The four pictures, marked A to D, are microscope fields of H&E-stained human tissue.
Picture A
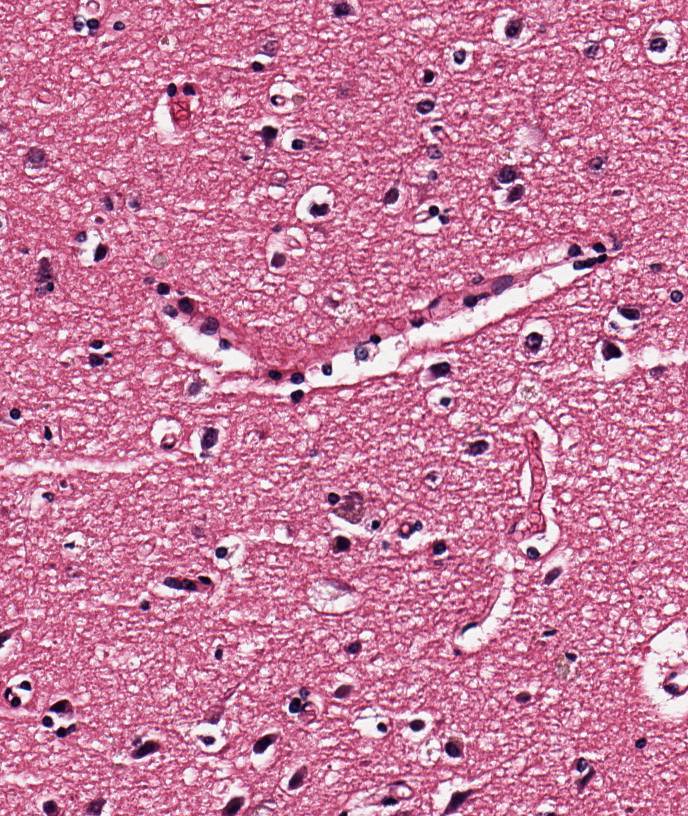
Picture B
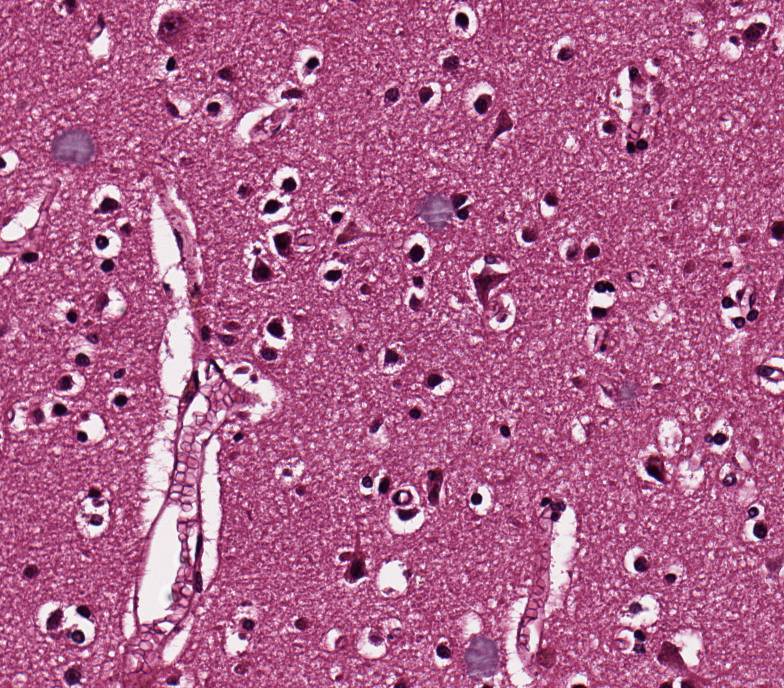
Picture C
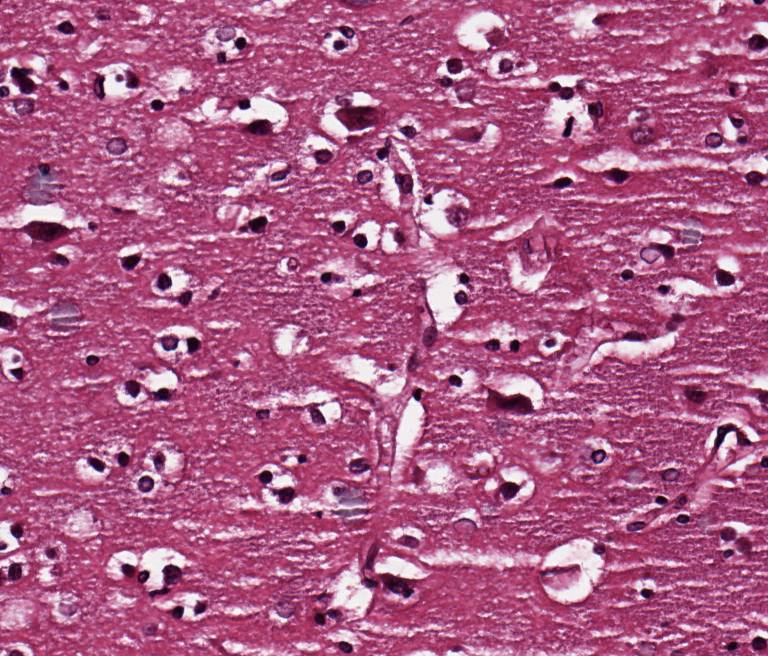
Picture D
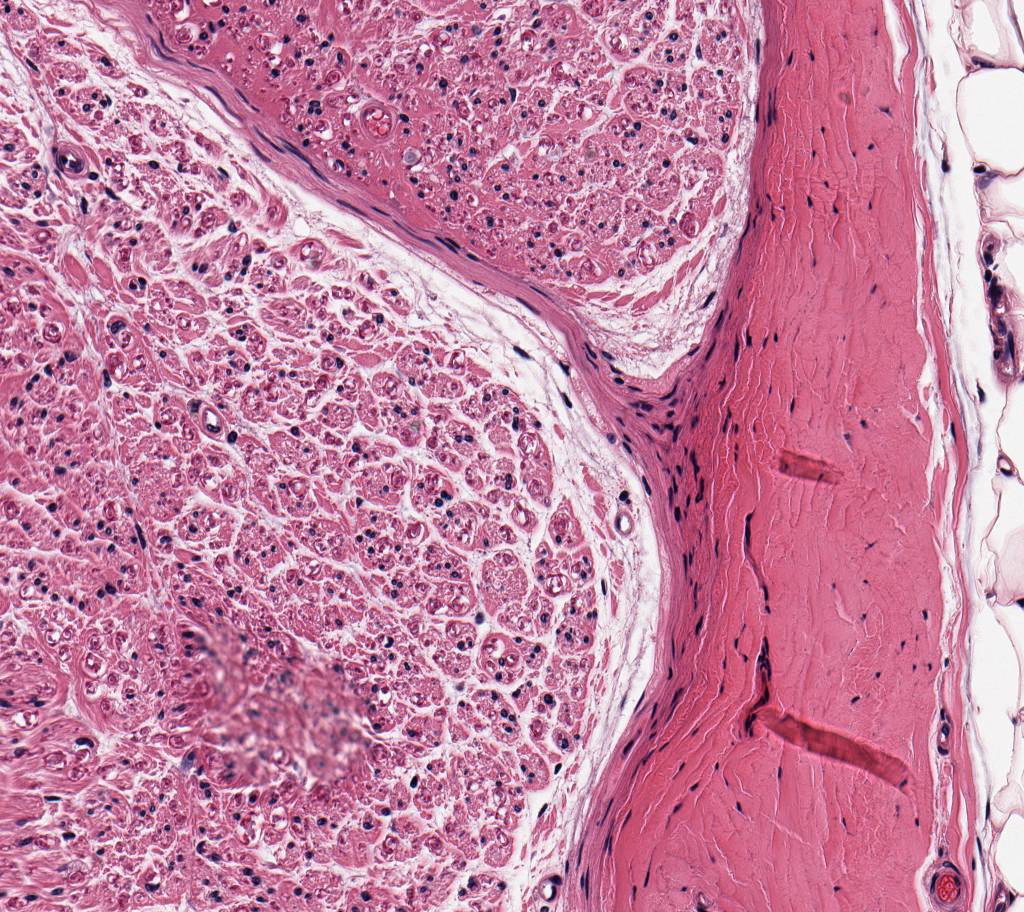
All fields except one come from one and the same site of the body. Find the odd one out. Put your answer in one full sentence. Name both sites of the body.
Picture D is the odd one out: it comes from the tibial nerve, while the others come from the cerebral cortex.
